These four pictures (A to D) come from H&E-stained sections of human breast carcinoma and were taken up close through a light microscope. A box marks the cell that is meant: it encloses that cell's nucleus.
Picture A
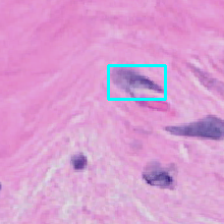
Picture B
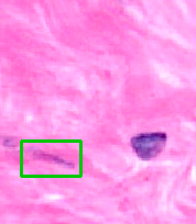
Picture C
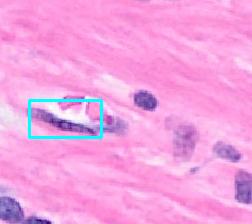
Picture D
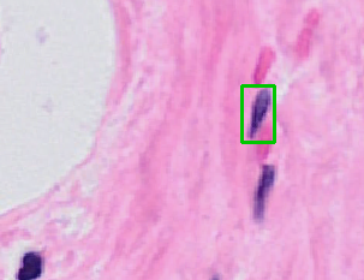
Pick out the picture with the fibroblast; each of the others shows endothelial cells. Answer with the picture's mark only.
B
